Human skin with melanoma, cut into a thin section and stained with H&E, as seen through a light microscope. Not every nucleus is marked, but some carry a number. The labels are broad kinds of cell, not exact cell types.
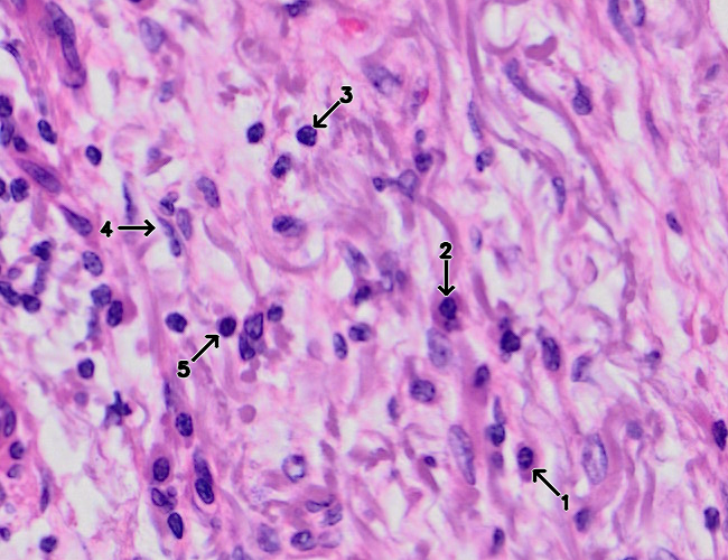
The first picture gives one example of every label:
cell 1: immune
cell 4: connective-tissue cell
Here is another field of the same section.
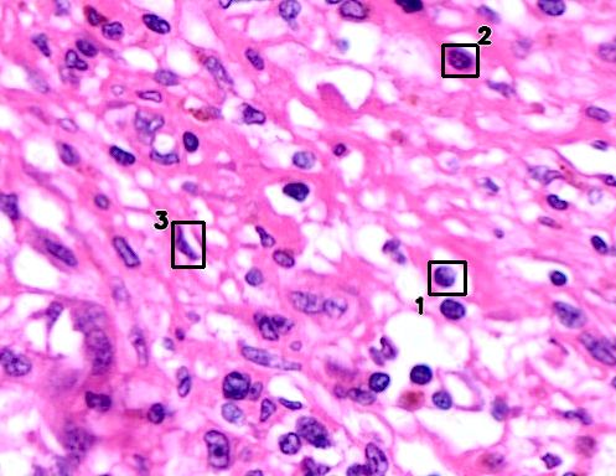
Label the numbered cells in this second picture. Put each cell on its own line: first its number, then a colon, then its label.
1: immune
2: immune
3: connective-tissue cell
